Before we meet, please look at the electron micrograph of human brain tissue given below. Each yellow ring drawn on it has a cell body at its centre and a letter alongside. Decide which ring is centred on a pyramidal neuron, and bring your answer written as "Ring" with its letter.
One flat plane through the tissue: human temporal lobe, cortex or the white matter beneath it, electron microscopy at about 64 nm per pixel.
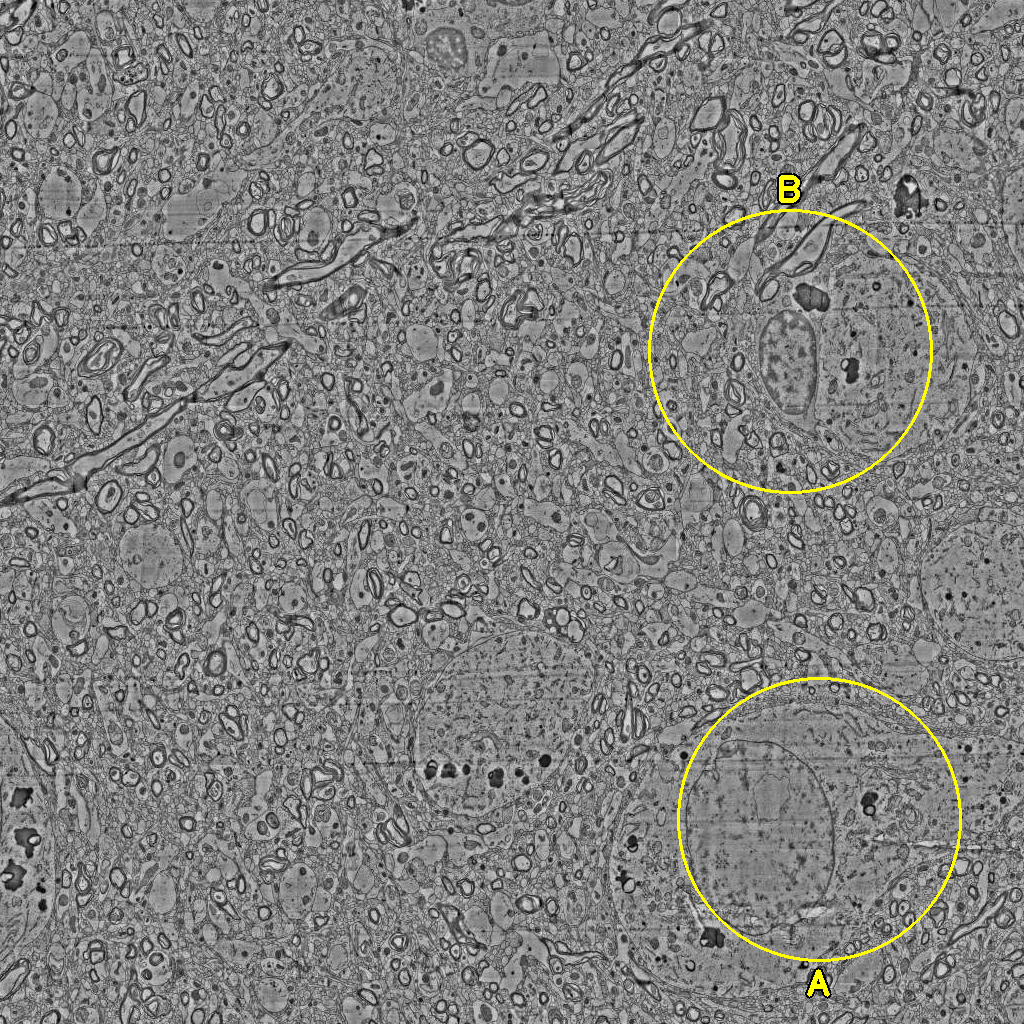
Ring A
